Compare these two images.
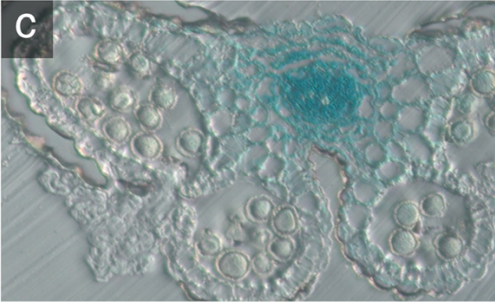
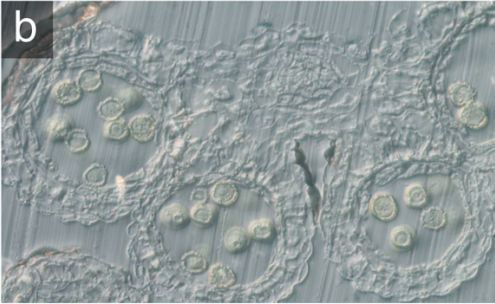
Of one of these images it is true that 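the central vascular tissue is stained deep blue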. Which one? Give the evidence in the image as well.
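First image: a strong blue patch sits at the centre between the four chambers. Second image: the centre of the section is colourless grey.
The first image.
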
